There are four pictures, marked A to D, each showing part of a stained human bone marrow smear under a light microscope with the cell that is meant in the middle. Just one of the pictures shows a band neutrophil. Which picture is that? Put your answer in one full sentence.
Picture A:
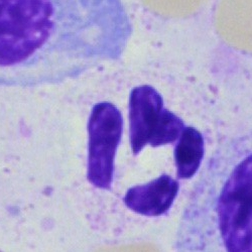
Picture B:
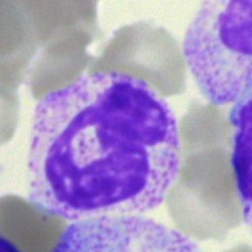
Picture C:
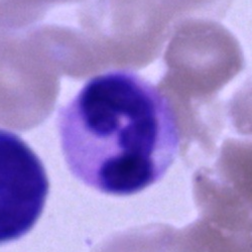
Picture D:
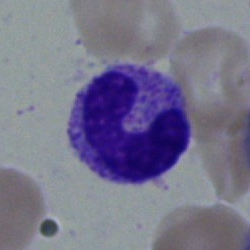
Picture D is the one that shows the band neutrophil.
